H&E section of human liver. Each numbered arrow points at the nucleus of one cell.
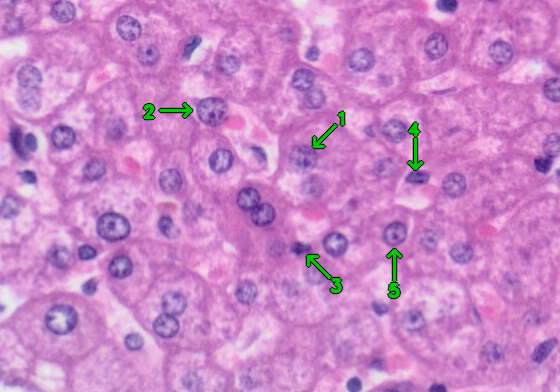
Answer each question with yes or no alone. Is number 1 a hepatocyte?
yes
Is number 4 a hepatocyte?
no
